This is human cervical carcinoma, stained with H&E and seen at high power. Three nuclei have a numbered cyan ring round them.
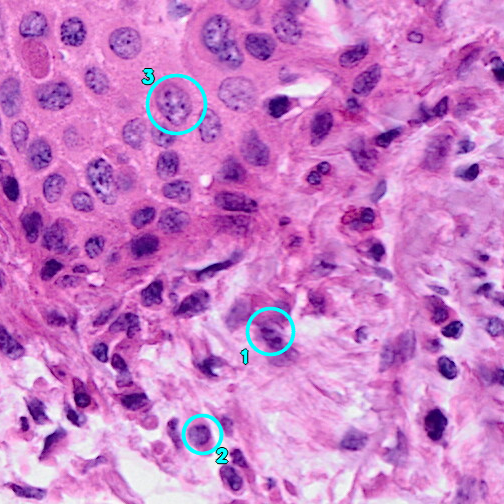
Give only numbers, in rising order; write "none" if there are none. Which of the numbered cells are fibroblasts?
1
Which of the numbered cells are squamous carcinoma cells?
3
